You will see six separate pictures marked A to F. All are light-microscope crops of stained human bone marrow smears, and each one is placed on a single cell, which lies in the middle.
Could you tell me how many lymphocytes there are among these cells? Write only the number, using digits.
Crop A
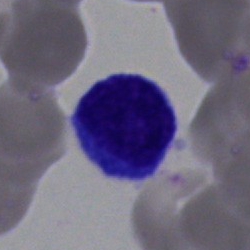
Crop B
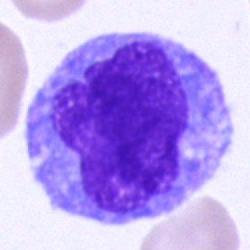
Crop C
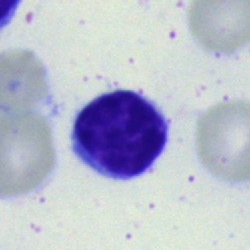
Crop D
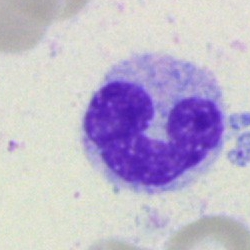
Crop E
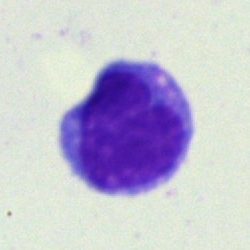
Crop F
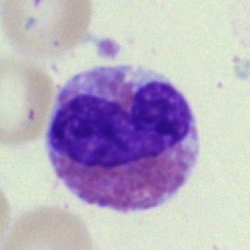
3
